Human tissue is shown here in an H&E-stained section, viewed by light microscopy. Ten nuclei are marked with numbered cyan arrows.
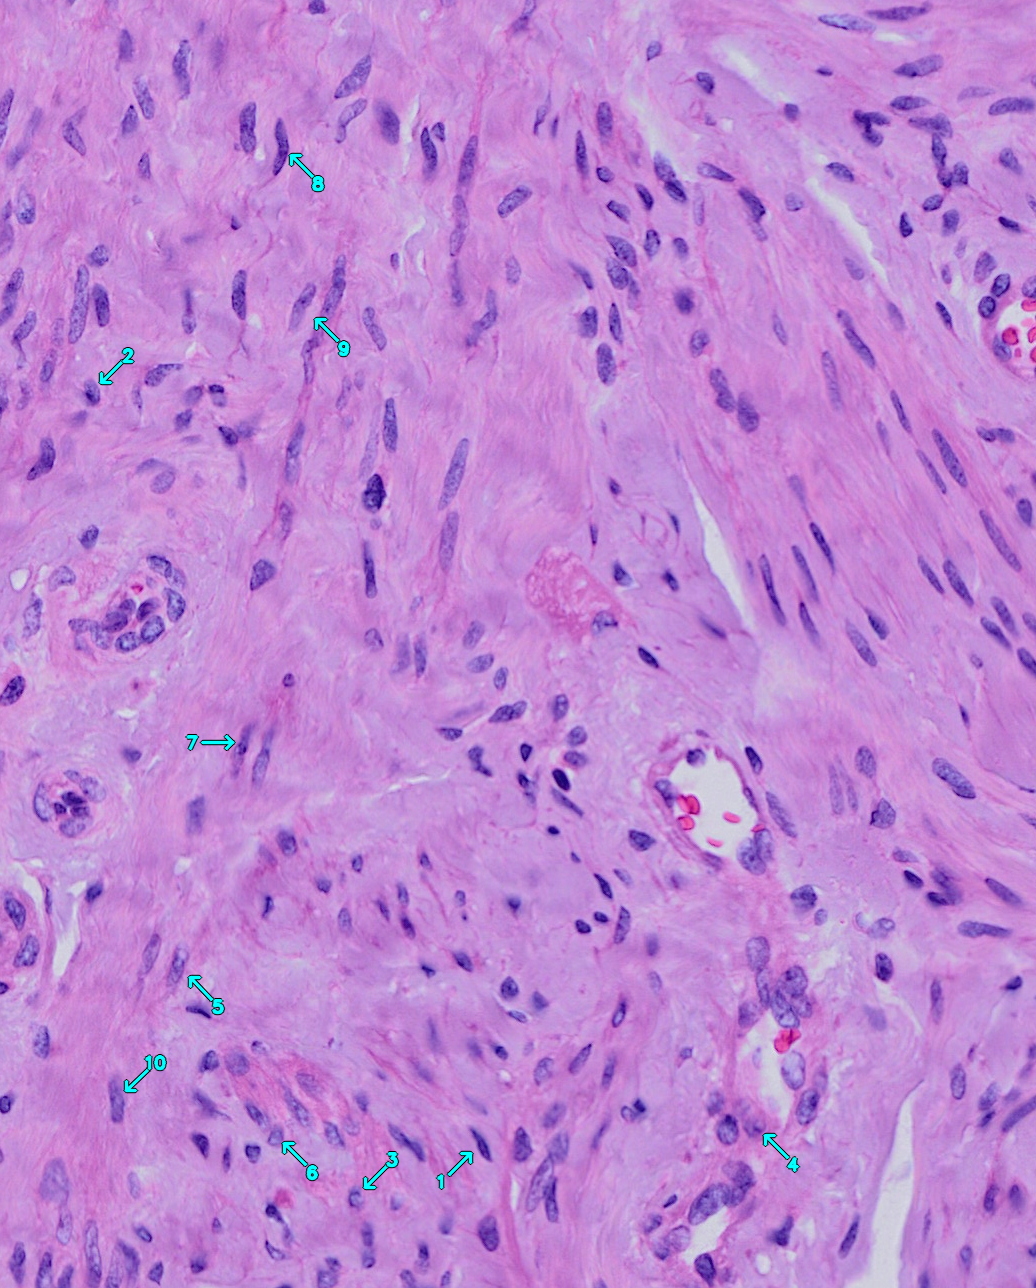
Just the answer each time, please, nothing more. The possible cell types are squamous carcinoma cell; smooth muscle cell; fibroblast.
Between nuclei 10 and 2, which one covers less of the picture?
2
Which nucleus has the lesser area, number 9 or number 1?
1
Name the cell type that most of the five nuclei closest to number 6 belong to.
smooth muscle cell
